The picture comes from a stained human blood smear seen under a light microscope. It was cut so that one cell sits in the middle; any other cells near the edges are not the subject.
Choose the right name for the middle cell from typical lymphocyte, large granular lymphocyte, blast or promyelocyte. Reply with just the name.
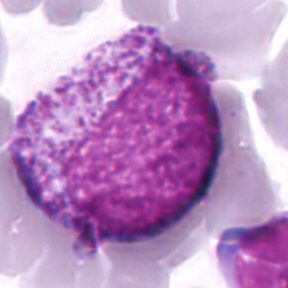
promyelocyte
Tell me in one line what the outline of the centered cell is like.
The outline of this cell is not smooth but ragged or drawn out into projections.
